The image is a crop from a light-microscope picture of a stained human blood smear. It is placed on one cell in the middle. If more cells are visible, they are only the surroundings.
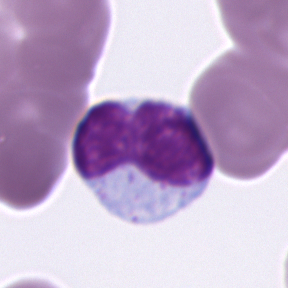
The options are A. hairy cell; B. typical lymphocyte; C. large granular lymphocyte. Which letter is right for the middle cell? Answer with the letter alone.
C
